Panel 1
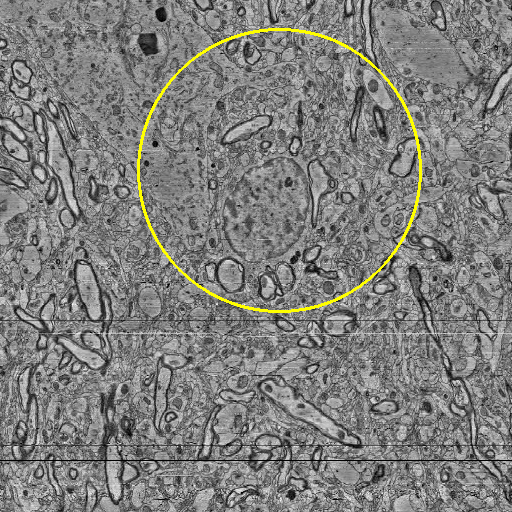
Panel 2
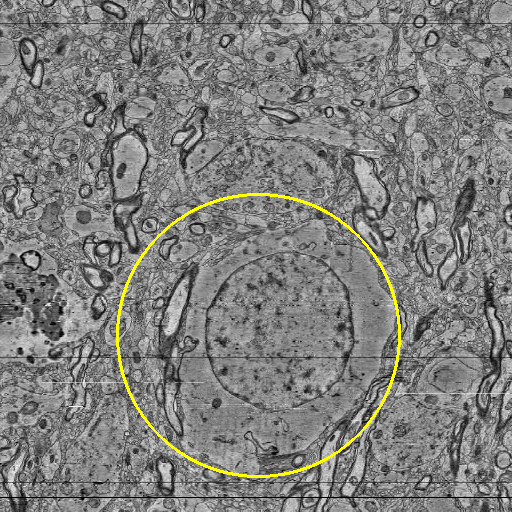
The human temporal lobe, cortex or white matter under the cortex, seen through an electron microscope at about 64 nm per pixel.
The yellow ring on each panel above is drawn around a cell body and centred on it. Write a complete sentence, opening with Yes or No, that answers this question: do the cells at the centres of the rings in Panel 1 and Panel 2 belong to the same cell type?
No, the two cells belong to two cell types.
